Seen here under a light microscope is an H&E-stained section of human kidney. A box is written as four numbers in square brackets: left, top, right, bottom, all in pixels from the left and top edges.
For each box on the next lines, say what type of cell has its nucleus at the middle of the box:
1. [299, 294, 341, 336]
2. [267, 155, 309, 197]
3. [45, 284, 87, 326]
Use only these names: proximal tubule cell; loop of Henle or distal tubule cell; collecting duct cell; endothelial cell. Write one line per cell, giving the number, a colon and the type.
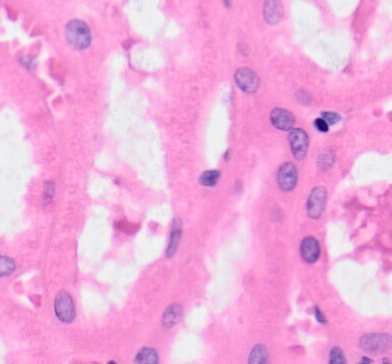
1: endothelial cell
2: proximal tubule cell
3: proximal tubule cell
